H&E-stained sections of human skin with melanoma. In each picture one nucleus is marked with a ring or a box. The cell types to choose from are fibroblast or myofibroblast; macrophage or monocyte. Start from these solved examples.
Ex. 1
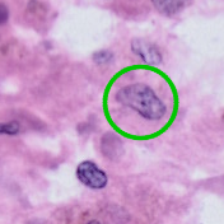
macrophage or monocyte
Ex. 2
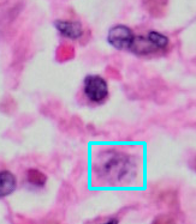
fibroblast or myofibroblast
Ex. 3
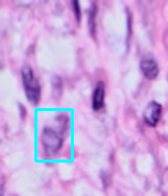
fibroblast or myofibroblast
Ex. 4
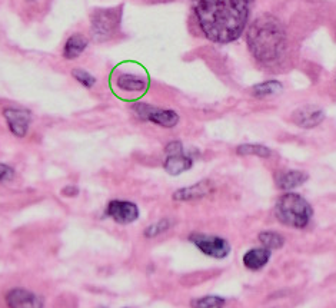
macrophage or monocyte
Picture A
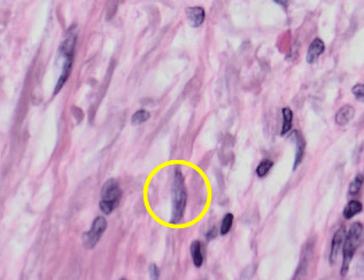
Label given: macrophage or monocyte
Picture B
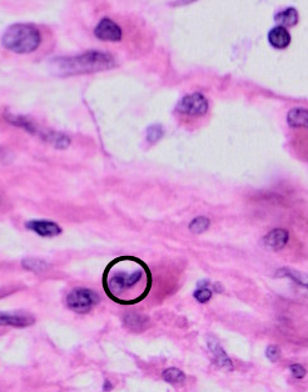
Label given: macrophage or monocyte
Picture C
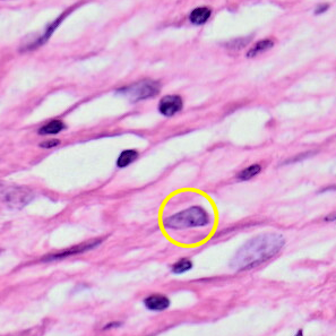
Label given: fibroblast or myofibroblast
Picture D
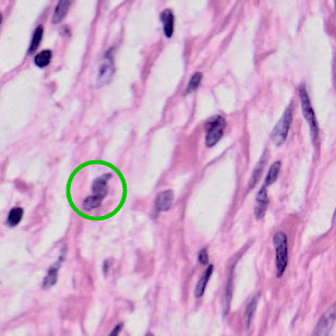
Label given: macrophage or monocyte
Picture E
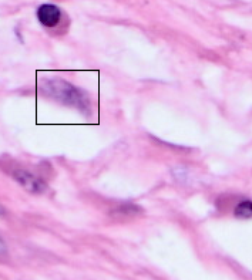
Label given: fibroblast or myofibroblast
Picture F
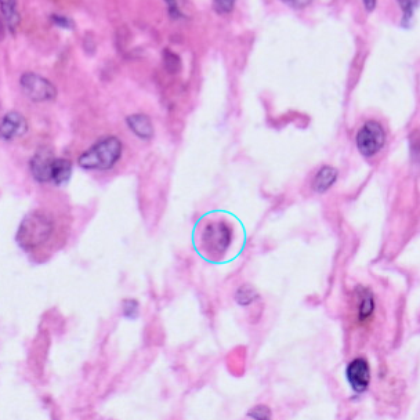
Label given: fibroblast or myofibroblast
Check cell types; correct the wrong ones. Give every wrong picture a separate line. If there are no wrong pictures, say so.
A: not macrophage or monocyte but fibroblast or myofibroblast
F: not fibroblast or myofibroblast but macrophage or monocyte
